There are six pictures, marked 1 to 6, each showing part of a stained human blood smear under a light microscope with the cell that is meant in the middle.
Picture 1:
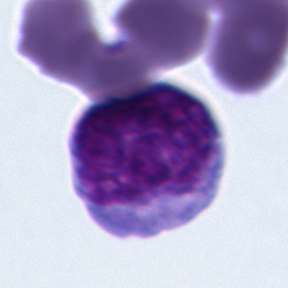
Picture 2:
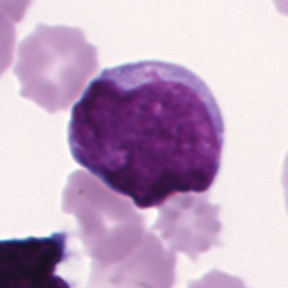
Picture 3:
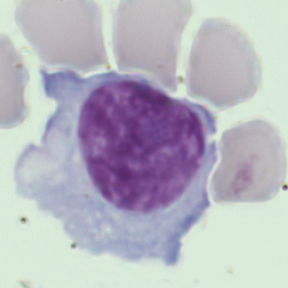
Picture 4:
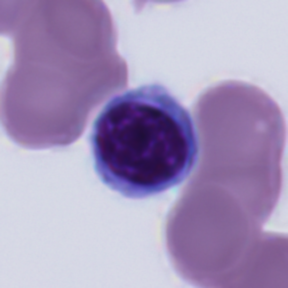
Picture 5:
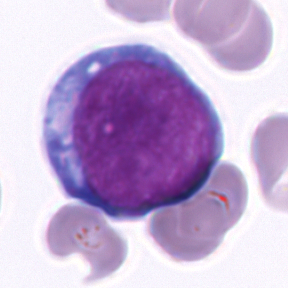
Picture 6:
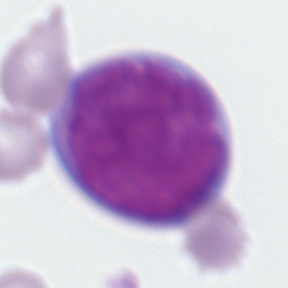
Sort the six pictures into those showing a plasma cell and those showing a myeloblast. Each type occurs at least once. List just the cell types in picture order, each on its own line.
myeloblast
myeloblast
plasma cell
plasma cell
myeloblast
myeloblast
